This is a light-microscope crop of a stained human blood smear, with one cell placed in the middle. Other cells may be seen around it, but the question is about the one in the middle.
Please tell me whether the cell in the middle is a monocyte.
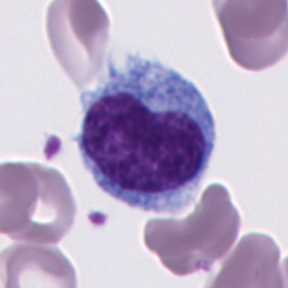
yes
